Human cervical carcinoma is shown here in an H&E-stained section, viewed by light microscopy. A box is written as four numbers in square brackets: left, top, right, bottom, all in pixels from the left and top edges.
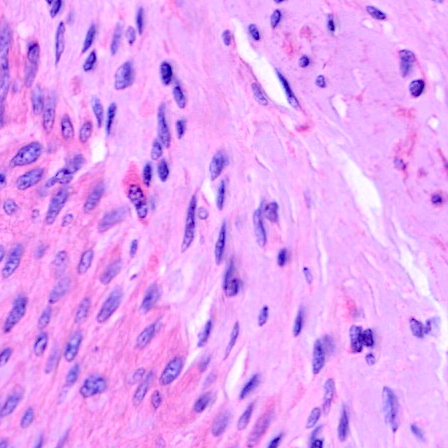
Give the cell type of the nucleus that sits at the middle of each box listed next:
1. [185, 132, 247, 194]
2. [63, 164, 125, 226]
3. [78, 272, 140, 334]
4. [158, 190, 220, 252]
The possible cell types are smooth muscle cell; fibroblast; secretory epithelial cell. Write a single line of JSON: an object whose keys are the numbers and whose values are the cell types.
{"1": "fibroblast", "2": "smooth muscle cell", "3": "smooth muscle cell", "4": "fibroblast"}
